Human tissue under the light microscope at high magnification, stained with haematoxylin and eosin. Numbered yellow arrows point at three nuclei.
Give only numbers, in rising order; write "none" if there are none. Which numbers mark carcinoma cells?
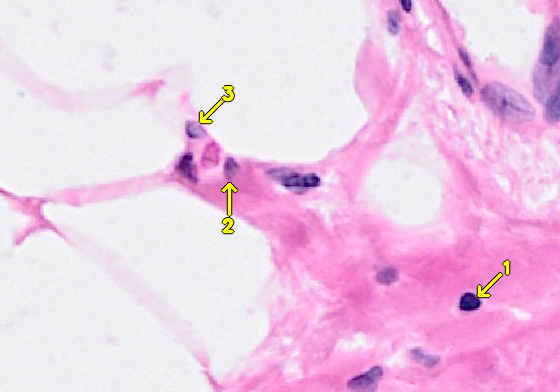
none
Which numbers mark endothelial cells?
2, 3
